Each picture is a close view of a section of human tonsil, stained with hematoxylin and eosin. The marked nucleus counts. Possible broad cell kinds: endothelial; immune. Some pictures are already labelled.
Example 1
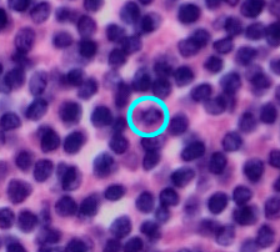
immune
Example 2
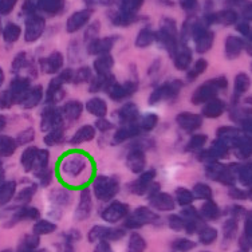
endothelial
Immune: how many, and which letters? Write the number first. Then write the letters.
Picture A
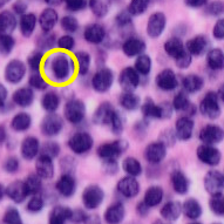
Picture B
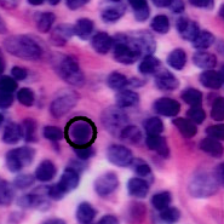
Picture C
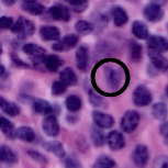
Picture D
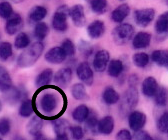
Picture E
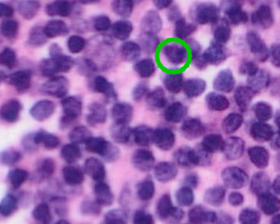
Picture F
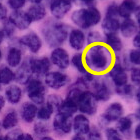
Count: 4 (A, D, E, F)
